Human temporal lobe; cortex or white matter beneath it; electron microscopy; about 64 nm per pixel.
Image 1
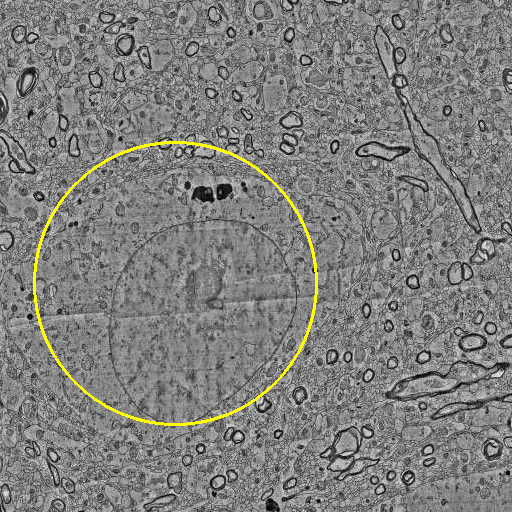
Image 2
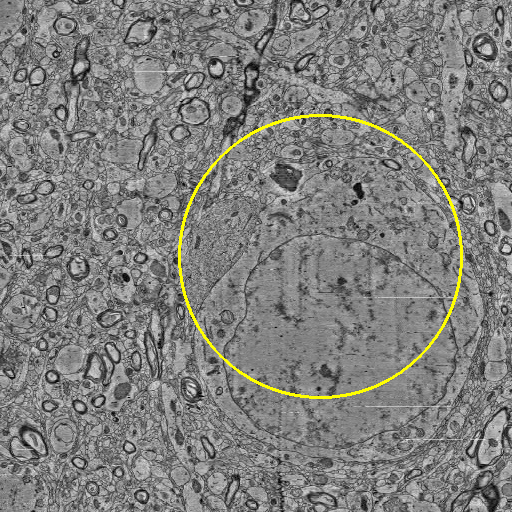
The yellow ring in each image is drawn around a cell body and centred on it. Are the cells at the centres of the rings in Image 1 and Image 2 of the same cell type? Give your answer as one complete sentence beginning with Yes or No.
Yes, both cells are of the same type.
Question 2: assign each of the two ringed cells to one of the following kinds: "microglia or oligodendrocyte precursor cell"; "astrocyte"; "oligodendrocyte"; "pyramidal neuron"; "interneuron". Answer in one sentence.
Each cell at the centre of a ring is a pyramidal neuron.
